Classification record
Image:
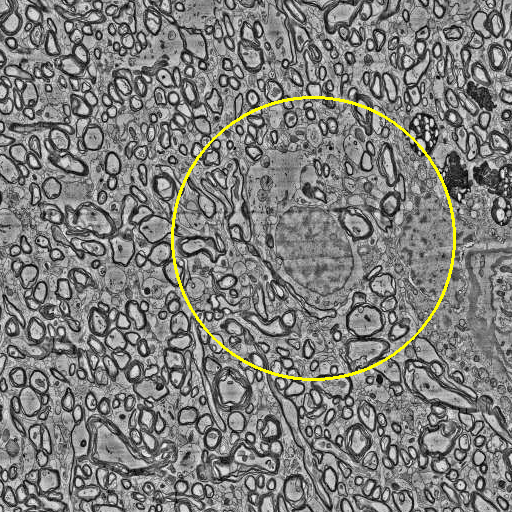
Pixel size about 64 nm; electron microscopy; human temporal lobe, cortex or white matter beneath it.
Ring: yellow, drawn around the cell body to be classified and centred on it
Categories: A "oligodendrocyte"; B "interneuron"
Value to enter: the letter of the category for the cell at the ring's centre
A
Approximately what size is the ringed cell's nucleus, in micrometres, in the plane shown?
The nucleus is approximately 6 micrometers long by 5 micrometers wide in this plane.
